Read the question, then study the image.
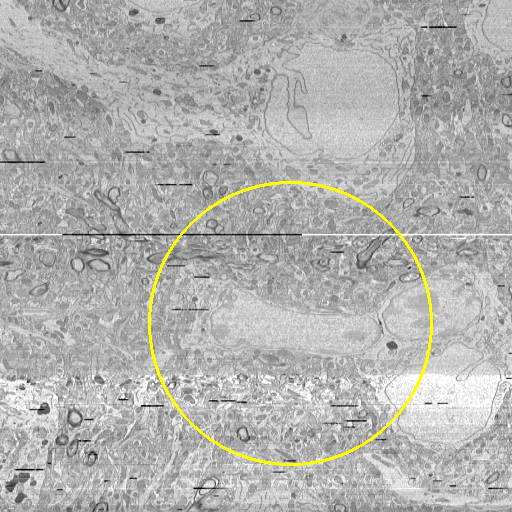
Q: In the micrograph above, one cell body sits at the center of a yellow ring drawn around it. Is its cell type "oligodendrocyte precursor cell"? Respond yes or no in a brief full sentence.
Yes, its cell type is that one.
